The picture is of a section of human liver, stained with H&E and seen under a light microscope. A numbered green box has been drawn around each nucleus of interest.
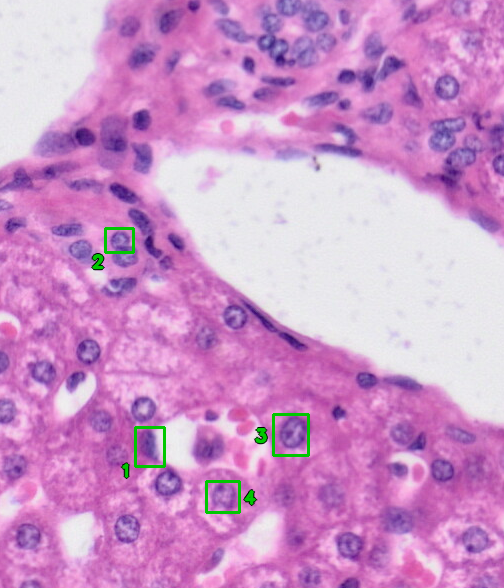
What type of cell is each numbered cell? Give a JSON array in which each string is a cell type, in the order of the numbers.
["endothelial cell", "cholangiocyte", "hepatocyte", "hepatocyte"]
